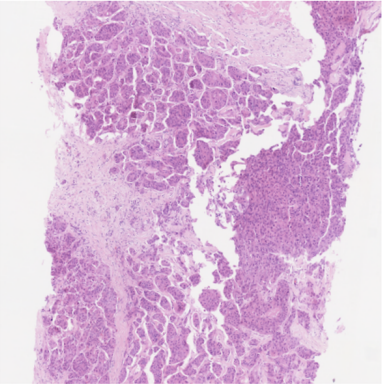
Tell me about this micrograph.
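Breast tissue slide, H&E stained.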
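The cell clusters form rounded and irregular nests and larger solid sheets, with the largest, most purple sheet on the right side. Their darker purple tone comes from crowded nuclei, while the stroma between the nests is light pink and fibrous, with few nuclei. White spaces and tears run through the section, especially near the middle and upper right, separating some groups of nests. At this magnification the arrangement of nests and stroma is clear, but the details of single cells are not.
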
